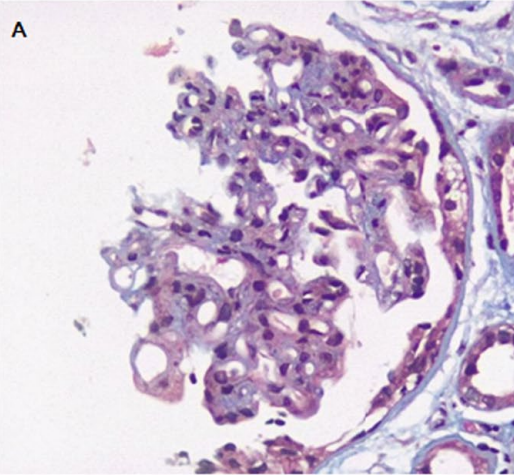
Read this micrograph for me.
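A kidney glomerulus lies on the left, its tuft lobulated with capillary loops and many dark nuclei in purple-red tissue. The tuft is separated by a clear space from the capsule on its right side. To the right, tubules in cross section are lined by cuboidal cells with reddish cytoplasm and round nuclei. Wide blue-stained bands of connective tissue lie between these tubules and beside the glomerulus.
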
